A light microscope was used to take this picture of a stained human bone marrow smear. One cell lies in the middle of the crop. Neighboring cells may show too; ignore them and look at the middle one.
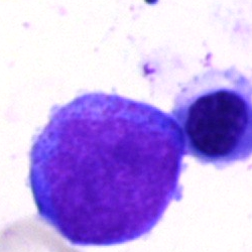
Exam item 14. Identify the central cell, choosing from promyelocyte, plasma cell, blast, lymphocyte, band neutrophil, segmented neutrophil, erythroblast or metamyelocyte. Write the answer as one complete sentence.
Here the cell in the middle is a blast.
